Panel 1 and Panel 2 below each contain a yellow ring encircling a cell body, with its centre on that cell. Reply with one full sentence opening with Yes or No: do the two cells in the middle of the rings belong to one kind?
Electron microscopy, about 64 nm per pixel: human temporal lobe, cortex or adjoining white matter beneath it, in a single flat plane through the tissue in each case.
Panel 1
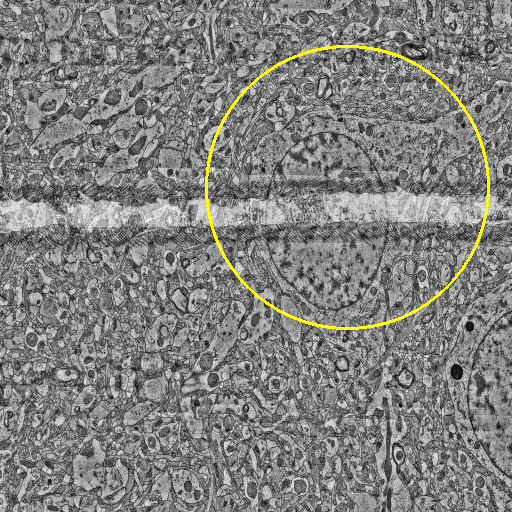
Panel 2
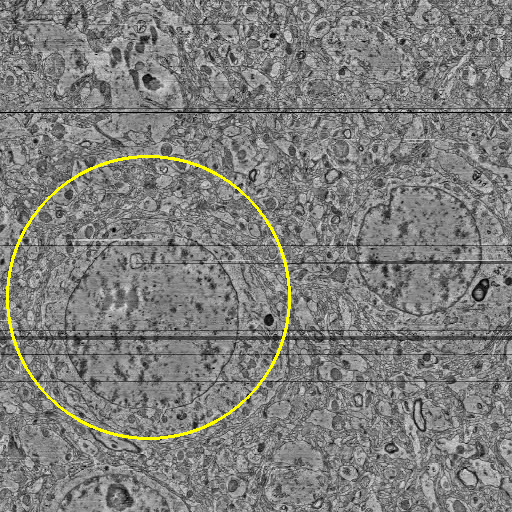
Yes, the cells at the middle of the Panel 1 ring and the Panel 2 ring are of one kind.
